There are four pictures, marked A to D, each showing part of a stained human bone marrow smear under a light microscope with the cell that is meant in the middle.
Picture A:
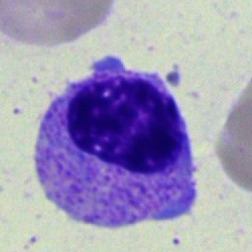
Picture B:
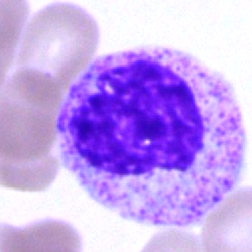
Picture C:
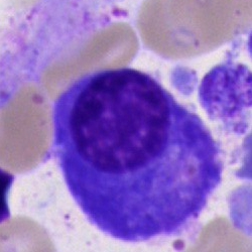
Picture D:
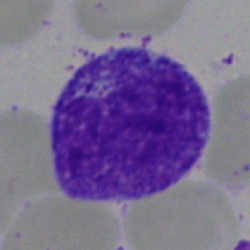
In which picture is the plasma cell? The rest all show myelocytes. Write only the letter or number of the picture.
C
